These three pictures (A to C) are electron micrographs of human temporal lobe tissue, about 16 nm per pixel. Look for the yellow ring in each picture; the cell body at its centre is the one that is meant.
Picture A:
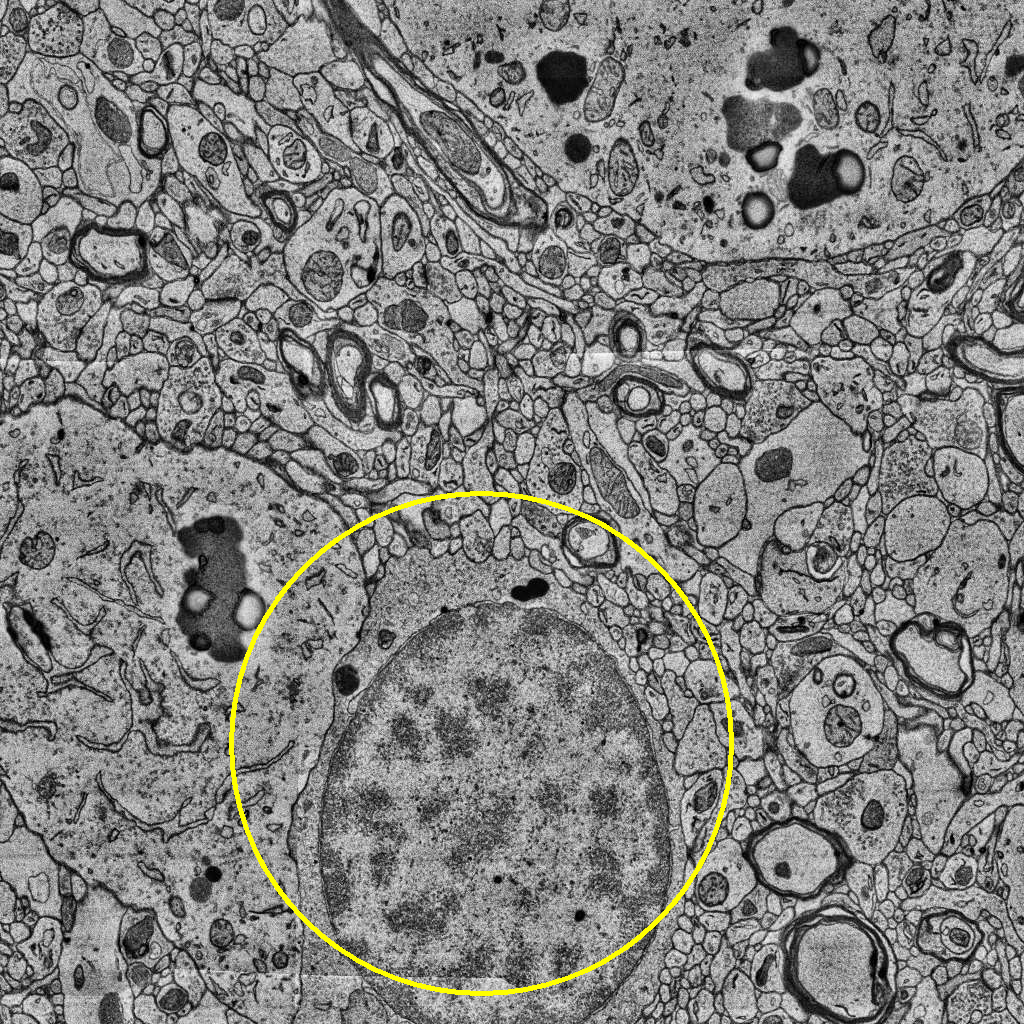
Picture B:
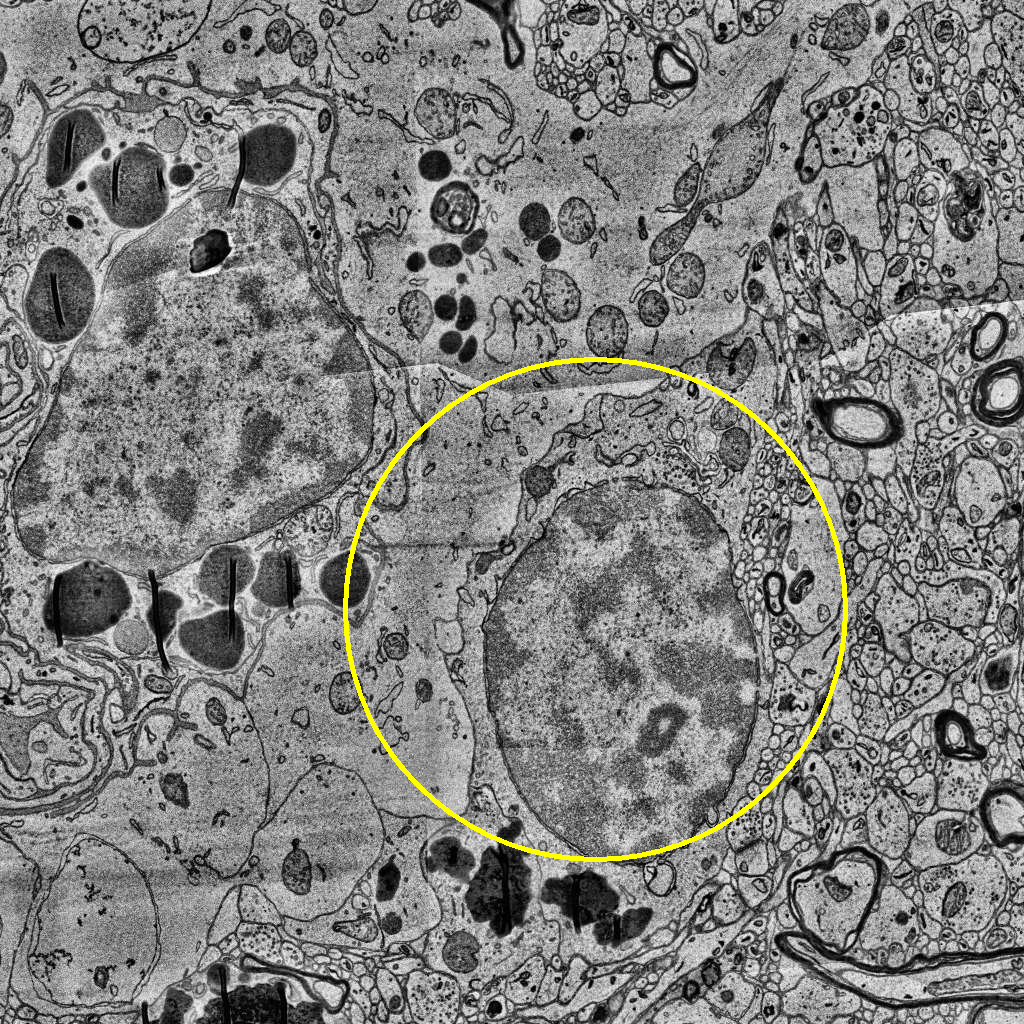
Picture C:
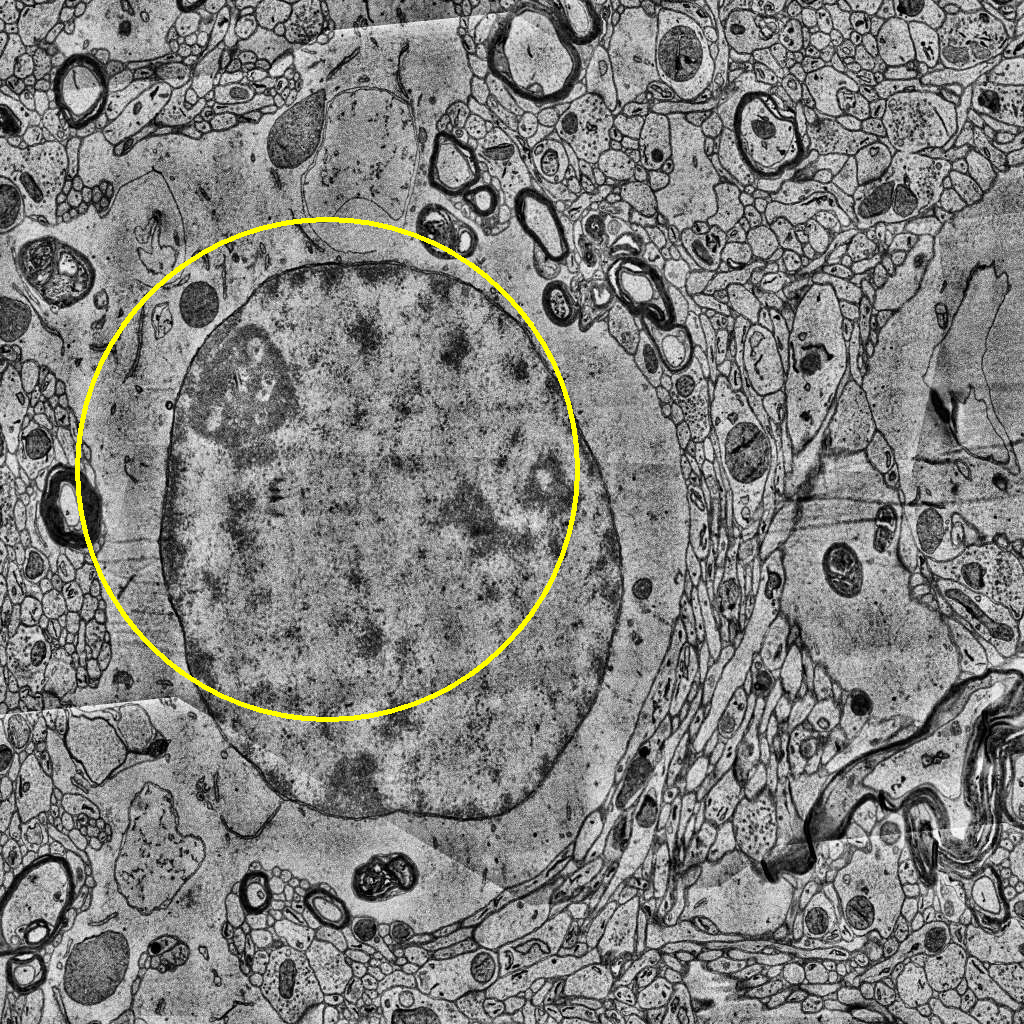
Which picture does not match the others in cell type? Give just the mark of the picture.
C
